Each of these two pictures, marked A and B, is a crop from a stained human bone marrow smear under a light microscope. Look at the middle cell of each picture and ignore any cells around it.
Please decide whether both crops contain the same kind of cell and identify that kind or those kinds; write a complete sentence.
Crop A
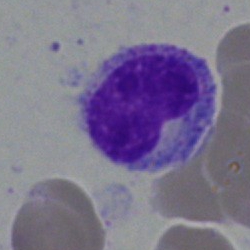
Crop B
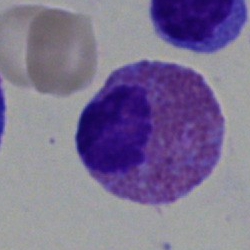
No, crop A shows a metamyelocyte, whereas in crop B the cell is an eosinophil.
